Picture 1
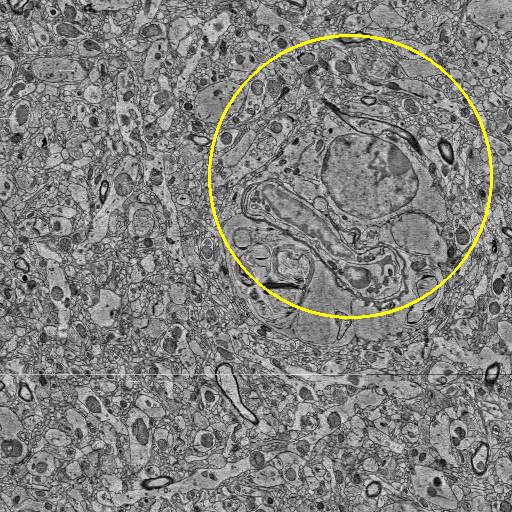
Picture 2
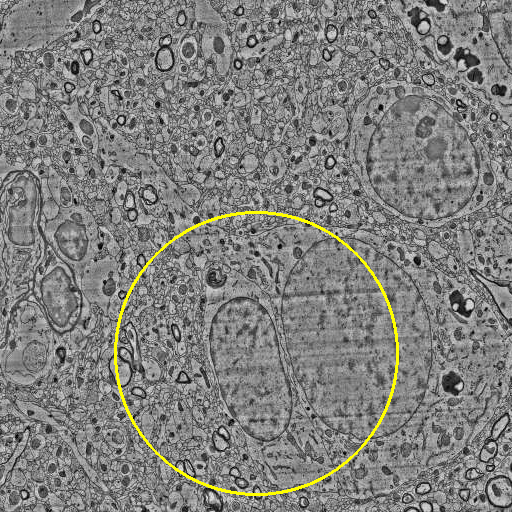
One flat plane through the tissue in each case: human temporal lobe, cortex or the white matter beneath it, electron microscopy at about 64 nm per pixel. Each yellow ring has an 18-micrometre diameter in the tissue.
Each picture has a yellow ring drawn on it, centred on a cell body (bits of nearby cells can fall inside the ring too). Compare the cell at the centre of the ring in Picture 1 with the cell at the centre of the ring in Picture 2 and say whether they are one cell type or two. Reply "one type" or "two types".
one type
